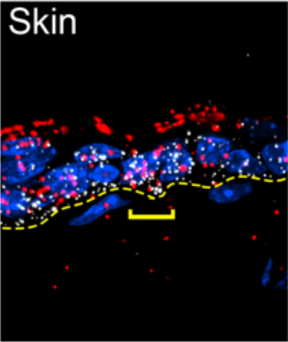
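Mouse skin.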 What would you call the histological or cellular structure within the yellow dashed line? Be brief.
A: Basement membrane.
